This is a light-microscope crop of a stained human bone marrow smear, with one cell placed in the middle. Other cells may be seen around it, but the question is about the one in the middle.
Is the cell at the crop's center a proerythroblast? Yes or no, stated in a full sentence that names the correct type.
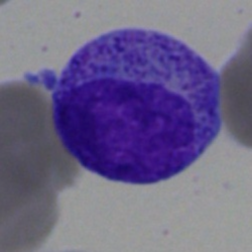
No, it is not a proerythroblast that sits at the centre but a promyelocyte.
